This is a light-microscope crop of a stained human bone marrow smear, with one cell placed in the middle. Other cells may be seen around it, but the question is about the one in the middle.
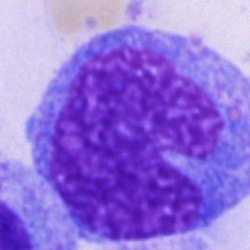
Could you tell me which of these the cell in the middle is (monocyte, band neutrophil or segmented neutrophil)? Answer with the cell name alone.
monocyte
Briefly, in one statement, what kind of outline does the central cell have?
Smooth edges only, with no spikes, blebs, or other projections.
